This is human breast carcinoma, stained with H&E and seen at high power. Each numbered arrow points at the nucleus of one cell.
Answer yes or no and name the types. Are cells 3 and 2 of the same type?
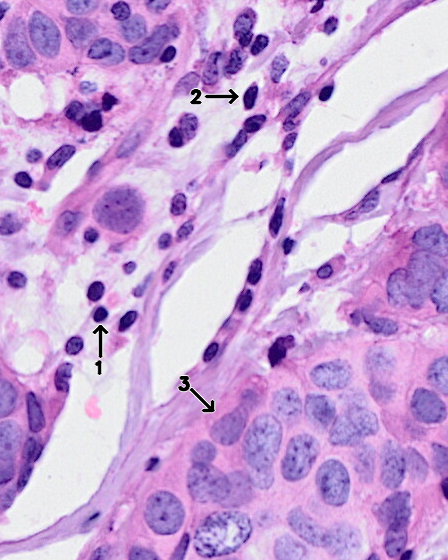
No, what is marked as cell 3 is a carcinoma cell, and what is marked as cell 2 is a lymphocyte.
